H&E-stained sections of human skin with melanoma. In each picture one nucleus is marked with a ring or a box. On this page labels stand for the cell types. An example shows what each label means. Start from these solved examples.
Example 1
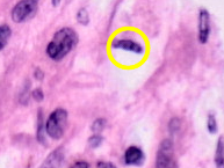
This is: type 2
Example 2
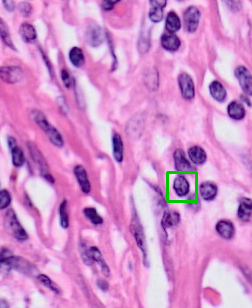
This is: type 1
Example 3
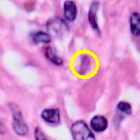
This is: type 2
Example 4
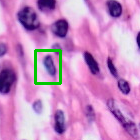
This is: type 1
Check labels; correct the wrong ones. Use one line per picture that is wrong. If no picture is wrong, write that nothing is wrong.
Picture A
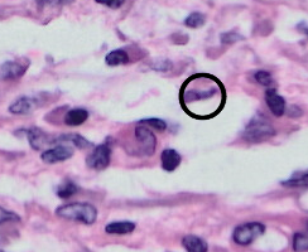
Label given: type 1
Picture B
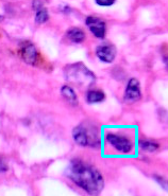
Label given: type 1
A: not type 1 but type 2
